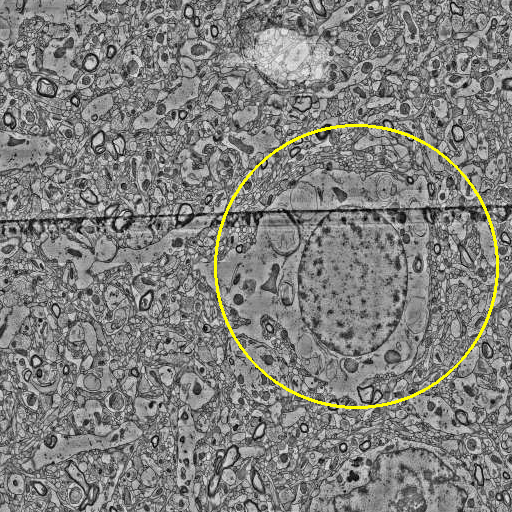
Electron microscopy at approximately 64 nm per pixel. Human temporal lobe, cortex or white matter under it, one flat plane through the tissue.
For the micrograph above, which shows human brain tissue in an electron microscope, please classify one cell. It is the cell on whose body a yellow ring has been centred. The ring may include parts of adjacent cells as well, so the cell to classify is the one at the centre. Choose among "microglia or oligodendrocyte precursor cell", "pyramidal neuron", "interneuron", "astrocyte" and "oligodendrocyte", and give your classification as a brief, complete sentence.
I classify this cell as an astrocyte.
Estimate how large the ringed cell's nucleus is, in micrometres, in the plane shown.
The nucleus measures about 9 by 7 micrometres in this plane.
